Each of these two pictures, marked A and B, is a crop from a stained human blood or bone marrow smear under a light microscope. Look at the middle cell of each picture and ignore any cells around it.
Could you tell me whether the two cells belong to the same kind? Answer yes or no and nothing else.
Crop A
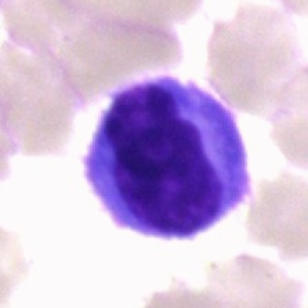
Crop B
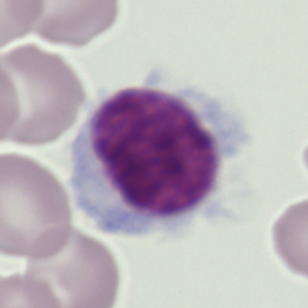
no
